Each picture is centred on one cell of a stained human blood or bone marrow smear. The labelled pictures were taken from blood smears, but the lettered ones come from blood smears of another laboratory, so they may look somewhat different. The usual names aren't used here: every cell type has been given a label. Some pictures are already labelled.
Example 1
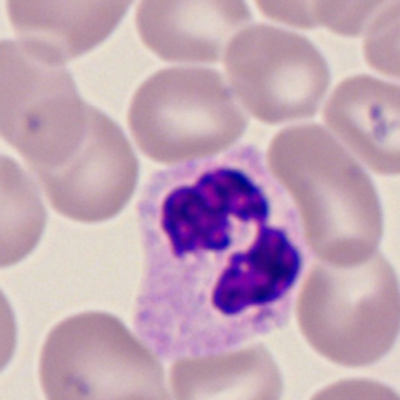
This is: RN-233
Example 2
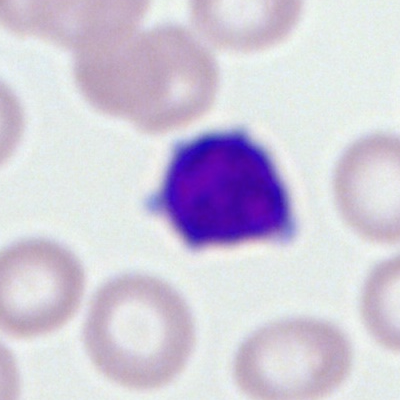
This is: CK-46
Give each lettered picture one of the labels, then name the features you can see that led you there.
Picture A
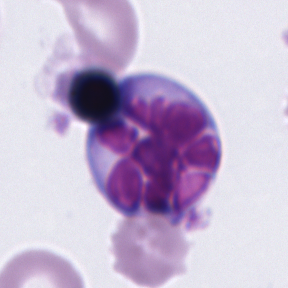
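CK-46. Reason: The lobed nucleus fills most of the cell.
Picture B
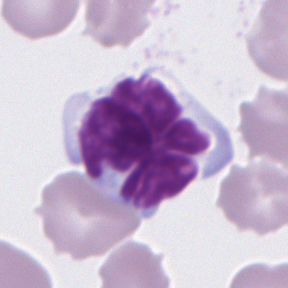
CK-46. Reason: The cytoplasm forms only a narrow pale blue rim around the nucleus.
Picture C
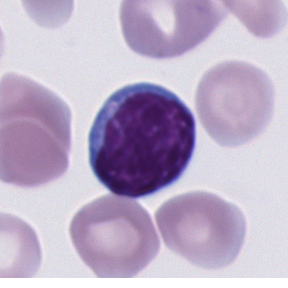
CK-46. Reason: The cytoplasm forms a thin crescent mainly along the left side of the cell.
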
